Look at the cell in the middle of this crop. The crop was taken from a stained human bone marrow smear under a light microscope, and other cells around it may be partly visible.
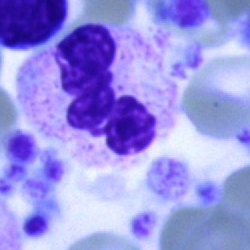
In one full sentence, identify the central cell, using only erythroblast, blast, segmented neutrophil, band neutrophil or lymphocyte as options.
For this crop, the cell in the middle is a segmented neutrophil.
